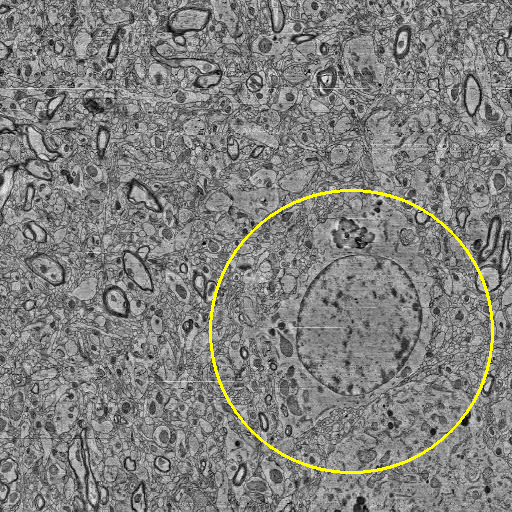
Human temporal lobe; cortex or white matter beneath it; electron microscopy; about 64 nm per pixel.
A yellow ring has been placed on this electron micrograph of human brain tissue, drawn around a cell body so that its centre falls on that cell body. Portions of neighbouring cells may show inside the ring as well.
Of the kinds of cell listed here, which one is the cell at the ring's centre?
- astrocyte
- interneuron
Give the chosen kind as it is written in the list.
astrocyte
